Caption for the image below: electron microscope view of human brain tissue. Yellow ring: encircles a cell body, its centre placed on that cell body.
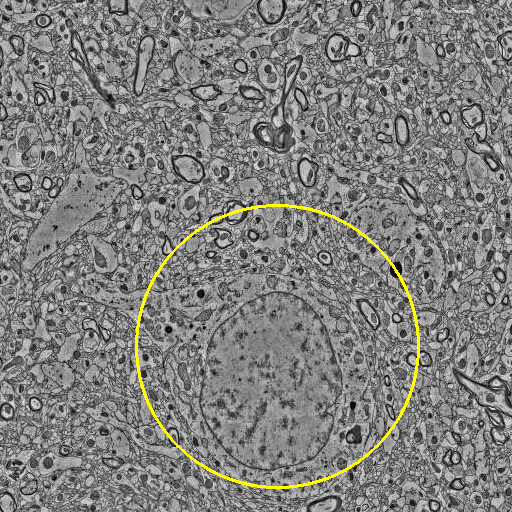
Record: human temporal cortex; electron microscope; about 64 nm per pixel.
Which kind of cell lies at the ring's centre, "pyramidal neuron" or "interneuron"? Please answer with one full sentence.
The picture shows a pyramidal neuron at the centre of the yellow ring.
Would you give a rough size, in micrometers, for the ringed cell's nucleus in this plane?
In this plane, about 11 micrometres in length and 9 in width.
